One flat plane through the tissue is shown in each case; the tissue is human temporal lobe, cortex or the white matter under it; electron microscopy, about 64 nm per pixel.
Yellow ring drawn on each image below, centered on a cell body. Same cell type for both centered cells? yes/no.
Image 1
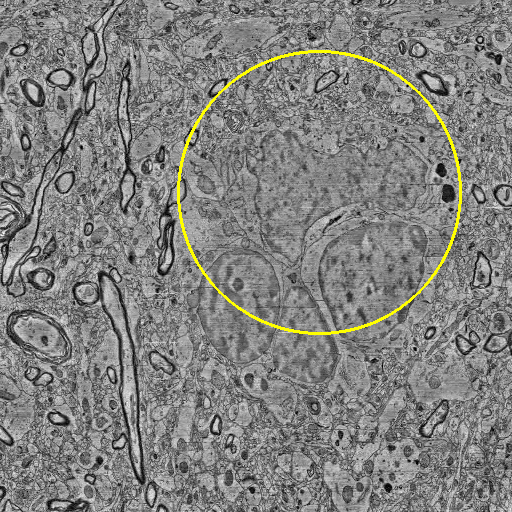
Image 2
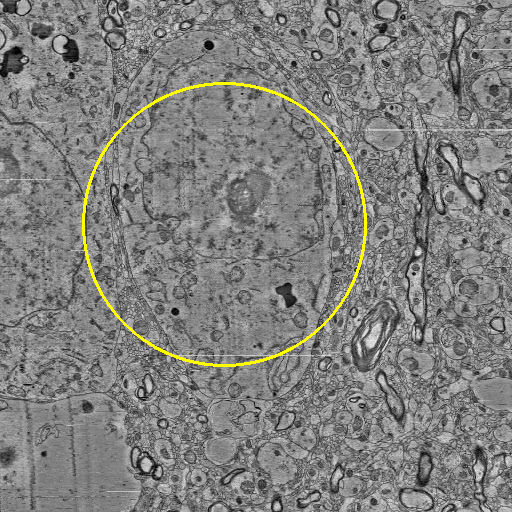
yes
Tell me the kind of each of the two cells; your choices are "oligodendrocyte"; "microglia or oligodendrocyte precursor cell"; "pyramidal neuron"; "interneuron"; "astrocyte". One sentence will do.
Each cell at the centre of a ring is an interneuron.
